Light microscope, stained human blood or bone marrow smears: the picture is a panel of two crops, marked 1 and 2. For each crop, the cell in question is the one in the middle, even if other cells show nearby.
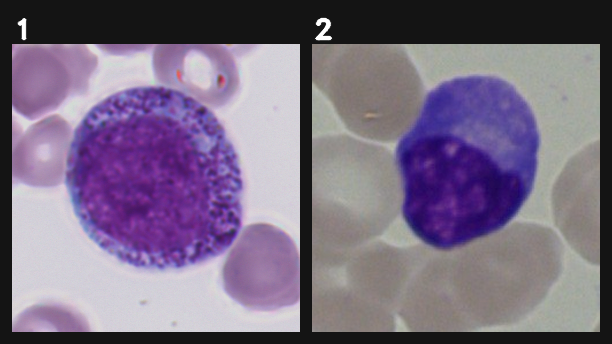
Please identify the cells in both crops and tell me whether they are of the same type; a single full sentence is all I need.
No, a promyelocyte is the cell in crop 1; a plasma cell is the cell in crop 2.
